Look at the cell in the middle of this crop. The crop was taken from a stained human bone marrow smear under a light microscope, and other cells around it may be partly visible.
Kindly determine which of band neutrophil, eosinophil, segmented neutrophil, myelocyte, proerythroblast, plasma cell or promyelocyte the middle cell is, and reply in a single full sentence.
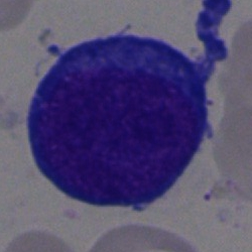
Where the crop is centred, there is a proerythroblast.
